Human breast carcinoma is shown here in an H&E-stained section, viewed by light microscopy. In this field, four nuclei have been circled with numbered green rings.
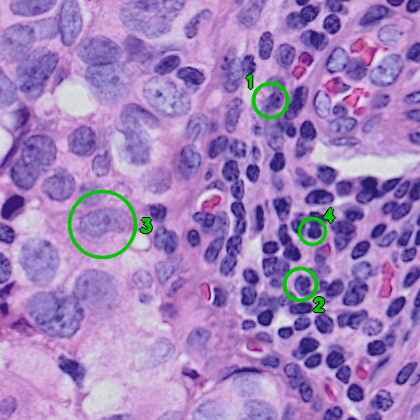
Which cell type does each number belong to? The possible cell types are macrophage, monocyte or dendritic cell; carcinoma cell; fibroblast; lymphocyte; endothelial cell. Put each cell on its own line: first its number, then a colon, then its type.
1: lymphocyte
2: lymphocyte
3: carcinoma cell
4: lymphocyte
